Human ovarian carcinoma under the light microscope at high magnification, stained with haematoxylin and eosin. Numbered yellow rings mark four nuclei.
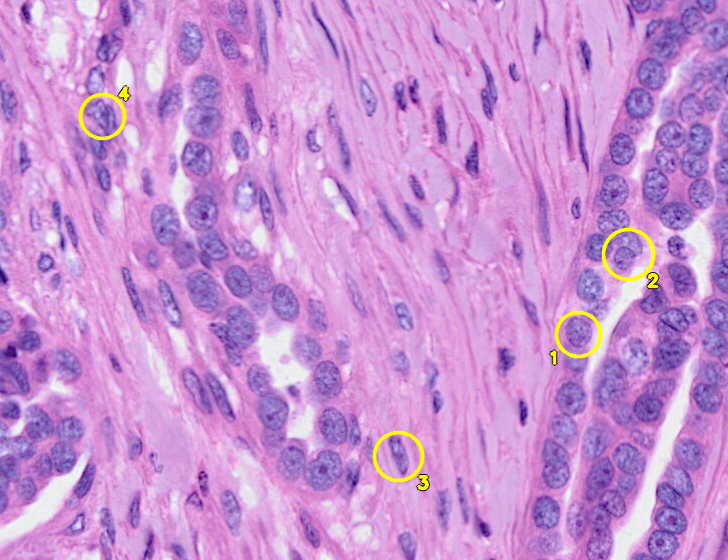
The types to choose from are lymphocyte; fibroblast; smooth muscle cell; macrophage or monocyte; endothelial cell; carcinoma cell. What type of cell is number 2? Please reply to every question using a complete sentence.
The identity of cell 2 is that of a carcinoma cell.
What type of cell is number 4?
The numeral 4 marks an endothelial cell in this section.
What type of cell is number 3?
Here the cell numbered 3 is a fibroblast.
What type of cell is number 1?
In the tissue shown, cell 1 is a carcinoma cell.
